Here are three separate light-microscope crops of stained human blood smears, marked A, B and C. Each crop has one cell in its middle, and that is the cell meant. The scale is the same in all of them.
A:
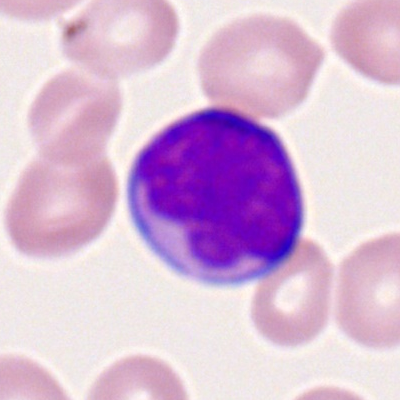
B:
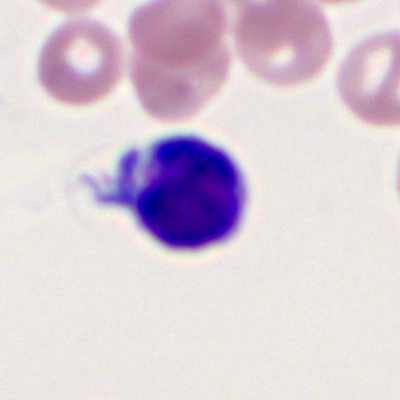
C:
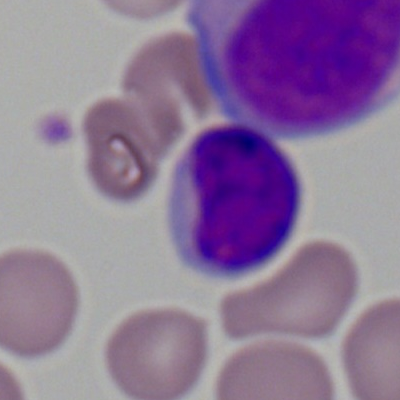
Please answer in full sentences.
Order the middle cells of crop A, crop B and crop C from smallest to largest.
From the smallest up, the order is B, C, A.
